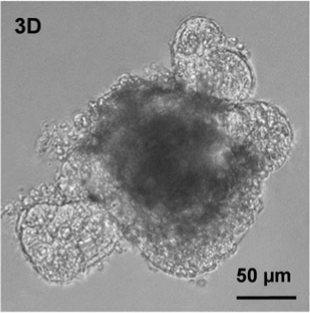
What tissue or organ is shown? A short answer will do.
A: small intestinal organoids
